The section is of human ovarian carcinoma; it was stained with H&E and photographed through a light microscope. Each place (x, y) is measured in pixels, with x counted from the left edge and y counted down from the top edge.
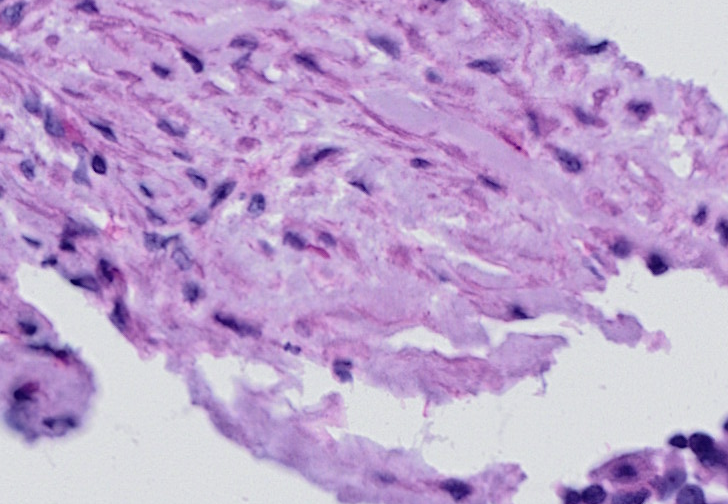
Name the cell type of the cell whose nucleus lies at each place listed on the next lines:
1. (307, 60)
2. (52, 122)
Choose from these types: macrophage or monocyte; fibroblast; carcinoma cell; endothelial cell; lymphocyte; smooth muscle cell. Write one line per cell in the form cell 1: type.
cell 1: fibroblast
cell 2: endothelial cell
